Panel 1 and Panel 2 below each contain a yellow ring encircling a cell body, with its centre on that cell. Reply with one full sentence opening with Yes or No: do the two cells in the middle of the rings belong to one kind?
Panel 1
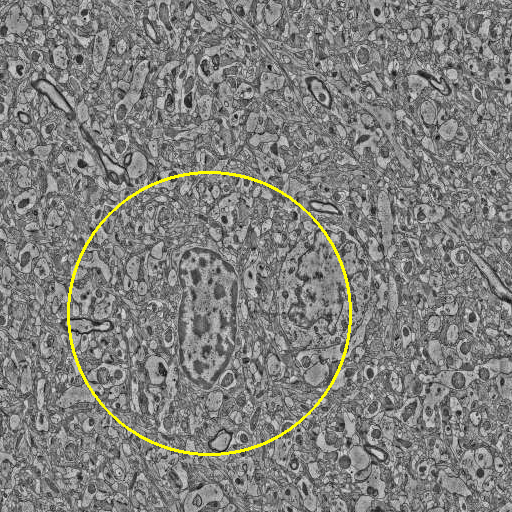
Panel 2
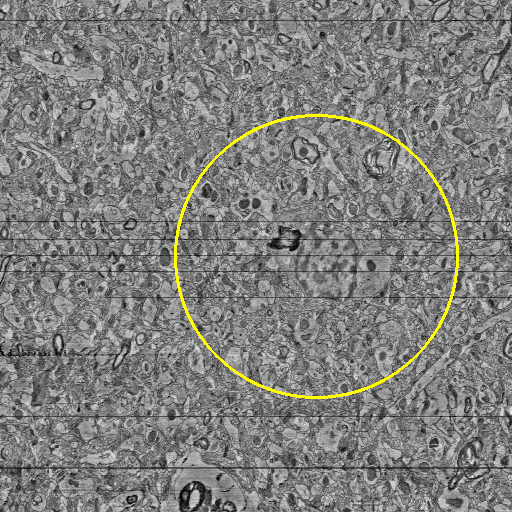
No, the cells at the middle of the Panel 1 ring and the Panel 2 ring are of two kinds.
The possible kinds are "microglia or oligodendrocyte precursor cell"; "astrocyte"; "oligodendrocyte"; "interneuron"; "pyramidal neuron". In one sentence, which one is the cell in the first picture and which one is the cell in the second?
The cell ringed in the second picture is an oligodendrocyte, whereas the one ringed in the first is a microglial cell or oligodendrocyte precursor cell.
